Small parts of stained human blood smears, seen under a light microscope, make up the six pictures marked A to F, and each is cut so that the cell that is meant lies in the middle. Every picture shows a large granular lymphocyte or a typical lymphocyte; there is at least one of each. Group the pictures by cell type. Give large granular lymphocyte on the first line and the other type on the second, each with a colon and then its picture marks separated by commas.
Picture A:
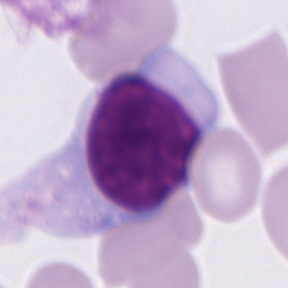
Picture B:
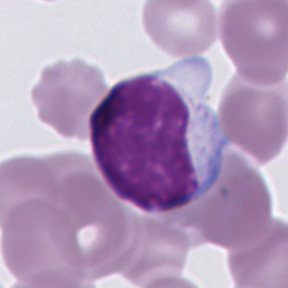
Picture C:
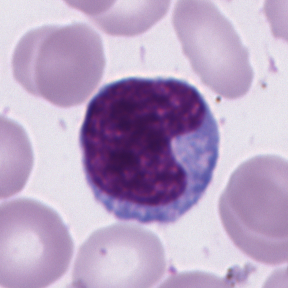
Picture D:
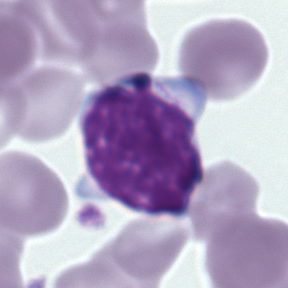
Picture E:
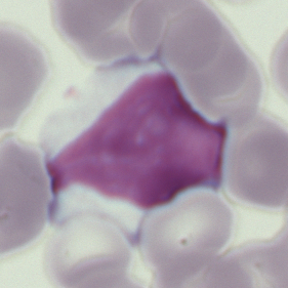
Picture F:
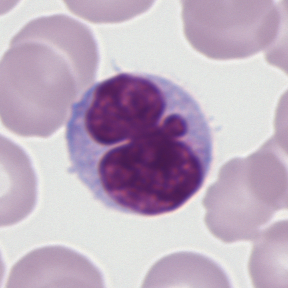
large granular lymphocyte: A, B, D
typical lymphocyte: C, E, F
